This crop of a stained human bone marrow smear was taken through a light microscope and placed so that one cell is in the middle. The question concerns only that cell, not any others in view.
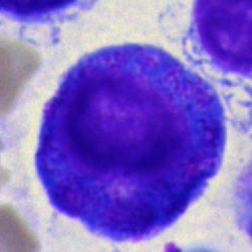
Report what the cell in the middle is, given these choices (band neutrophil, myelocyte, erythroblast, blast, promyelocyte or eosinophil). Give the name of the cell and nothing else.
promyelocyte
